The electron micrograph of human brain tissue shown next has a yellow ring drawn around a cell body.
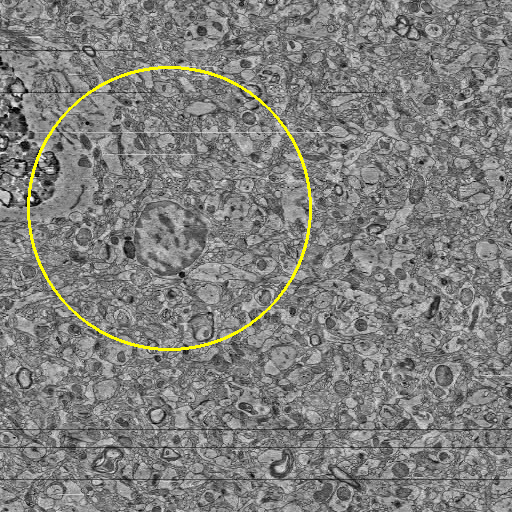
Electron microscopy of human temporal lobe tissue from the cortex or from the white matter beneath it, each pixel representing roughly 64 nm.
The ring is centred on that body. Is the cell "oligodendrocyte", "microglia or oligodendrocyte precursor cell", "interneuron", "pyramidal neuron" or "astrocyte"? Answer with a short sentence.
The cell in question is a microglial cell or oligodendrocyte precursor cell.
